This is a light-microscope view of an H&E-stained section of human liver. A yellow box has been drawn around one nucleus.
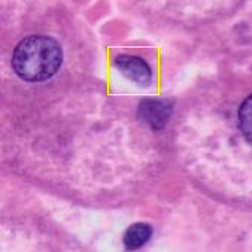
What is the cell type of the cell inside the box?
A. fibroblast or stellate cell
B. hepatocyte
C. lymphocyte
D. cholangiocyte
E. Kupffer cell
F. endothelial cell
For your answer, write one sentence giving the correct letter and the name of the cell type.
Of all the options, E is right, since the cell inside the box is a Kupffer cell.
